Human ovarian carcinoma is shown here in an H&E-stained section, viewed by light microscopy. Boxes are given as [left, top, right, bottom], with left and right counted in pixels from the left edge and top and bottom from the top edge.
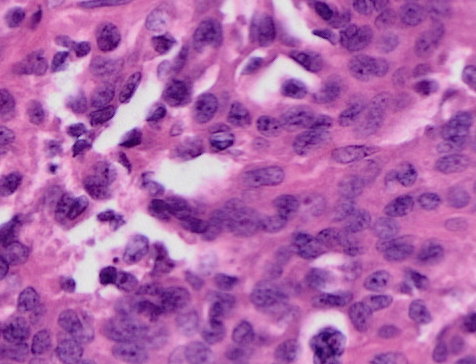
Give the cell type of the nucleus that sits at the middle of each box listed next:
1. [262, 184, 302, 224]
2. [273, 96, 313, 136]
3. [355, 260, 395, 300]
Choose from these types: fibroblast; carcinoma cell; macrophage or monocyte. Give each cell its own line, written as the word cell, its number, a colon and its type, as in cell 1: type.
cell 1: carcinoma cell
cell 2: carcinoma cell
cell 3: macrophage or monocyte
